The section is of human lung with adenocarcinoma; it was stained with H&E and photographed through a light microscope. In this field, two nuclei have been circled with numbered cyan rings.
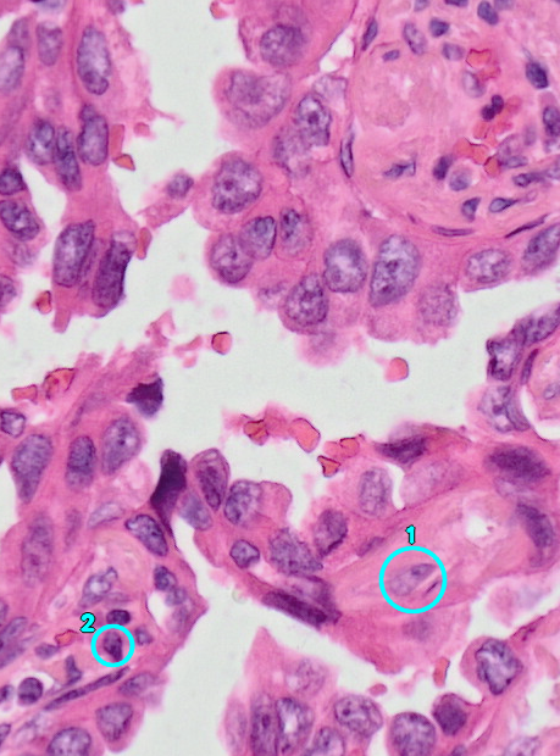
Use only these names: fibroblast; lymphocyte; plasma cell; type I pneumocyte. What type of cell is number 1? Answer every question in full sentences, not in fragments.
Belonging to a fibroblast is the nucleus that carries the number 1.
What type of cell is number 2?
Numbered cell 2 is a plasma cell in this tissue section.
